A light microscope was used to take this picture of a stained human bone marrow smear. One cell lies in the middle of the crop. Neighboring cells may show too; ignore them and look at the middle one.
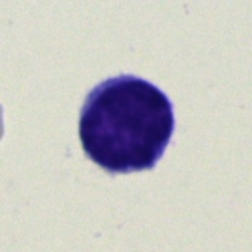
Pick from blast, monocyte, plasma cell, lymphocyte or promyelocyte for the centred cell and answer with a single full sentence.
What sits at the centre of this crop is a lymphocyte.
